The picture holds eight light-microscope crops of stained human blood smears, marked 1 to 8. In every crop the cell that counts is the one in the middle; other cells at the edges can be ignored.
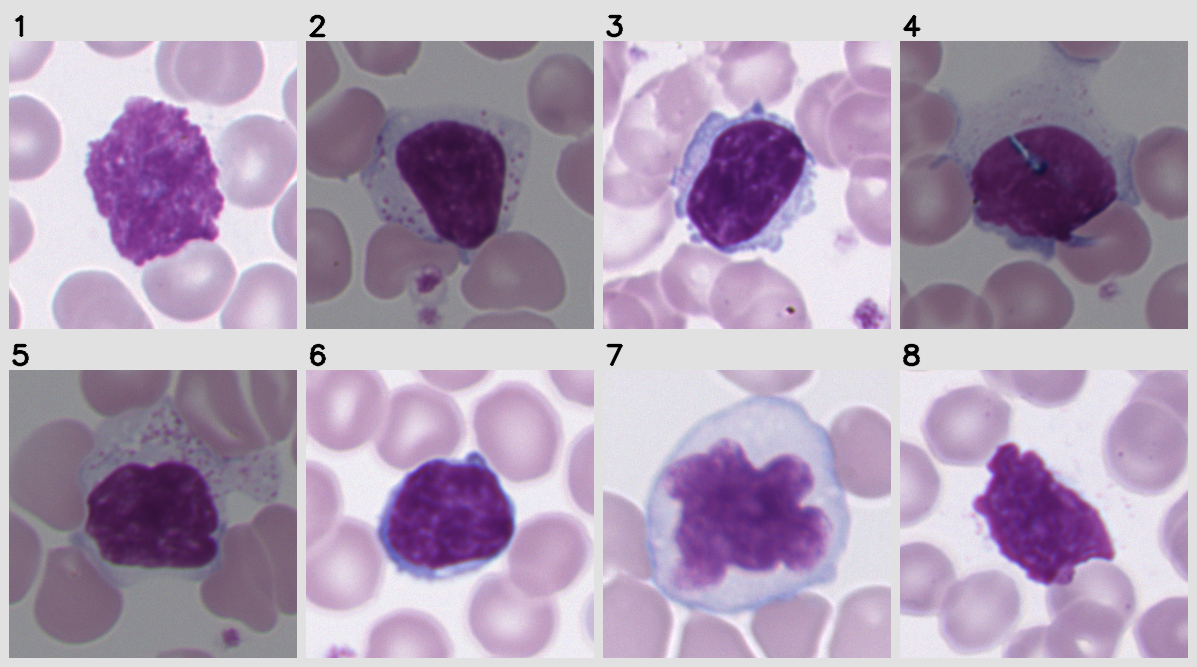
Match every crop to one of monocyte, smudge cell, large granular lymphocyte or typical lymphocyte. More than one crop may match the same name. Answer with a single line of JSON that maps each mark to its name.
{"1": "smudge cell", "2": "large granular lymphocyte", "3": "typical lymphocyte", "4": "large granular lymphocyte", "5": "large granular lymphocyte", "6": "typical lymphocyte", "7": "monocyte", "8": "smudge cell"}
